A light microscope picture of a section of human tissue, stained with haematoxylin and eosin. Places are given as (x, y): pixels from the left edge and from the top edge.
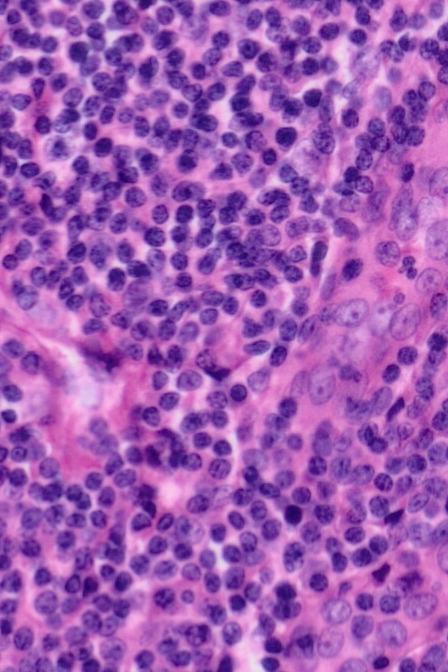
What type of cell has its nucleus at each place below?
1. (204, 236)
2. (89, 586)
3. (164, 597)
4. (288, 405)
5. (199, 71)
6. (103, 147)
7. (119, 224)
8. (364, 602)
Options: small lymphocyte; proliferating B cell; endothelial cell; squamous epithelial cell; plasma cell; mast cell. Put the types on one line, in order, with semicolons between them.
small lymphocyte; small lymphocyte; plasma cell; endothelial cell; small lymphocyte; small lymphocyte; small lymphocyte; endothelial cell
